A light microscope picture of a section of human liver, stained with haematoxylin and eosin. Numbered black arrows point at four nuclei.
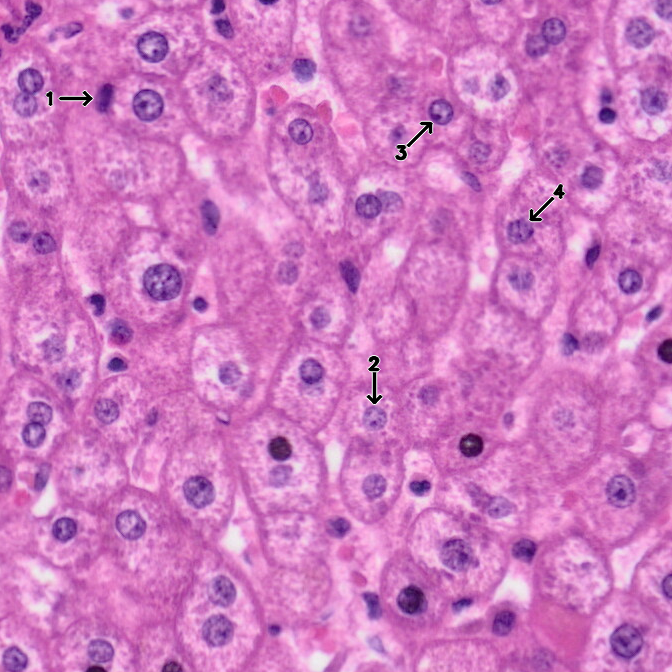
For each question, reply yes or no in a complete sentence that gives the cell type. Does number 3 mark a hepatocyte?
Yes, it is a hepatocyte that number 3 identifies.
